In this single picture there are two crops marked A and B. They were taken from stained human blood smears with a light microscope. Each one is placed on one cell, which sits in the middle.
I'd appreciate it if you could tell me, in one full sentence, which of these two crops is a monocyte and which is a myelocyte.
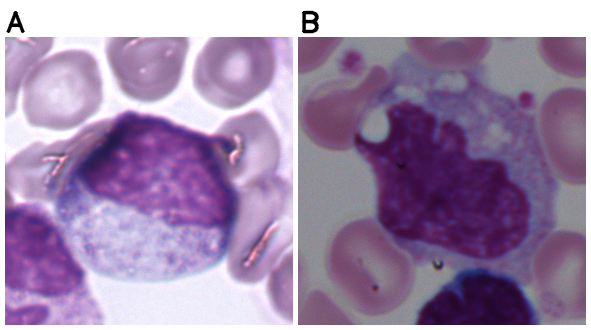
As for crop A, it is a myelocyte; crop B, by contrast, is a monocyte.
